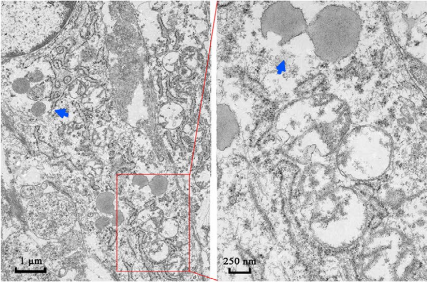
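The cytoplasm holds many round, smooth, uniformly mid-grey bodies of varying size, the appearance of lipid droplets, scattered among tortuous membrane profiles and elongated organelles. In the enlargement, large rounded droplets sit beside pale vacuoles with thin limiting membranes, and the surrounding cytoplasm shows loosely arranged membranes and sparse fine granular material.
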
